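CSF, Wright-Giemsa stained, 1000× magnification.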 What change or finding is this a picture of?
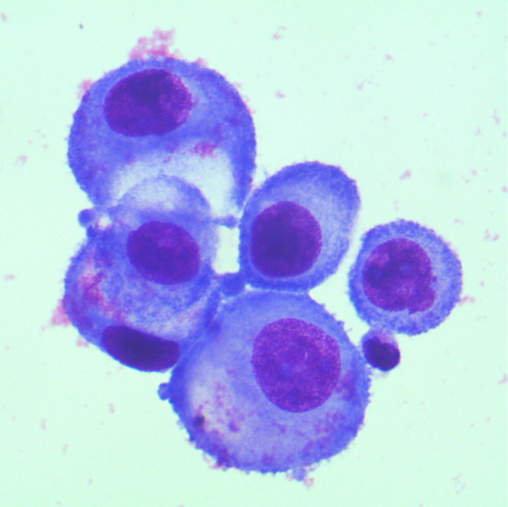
marked size variation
